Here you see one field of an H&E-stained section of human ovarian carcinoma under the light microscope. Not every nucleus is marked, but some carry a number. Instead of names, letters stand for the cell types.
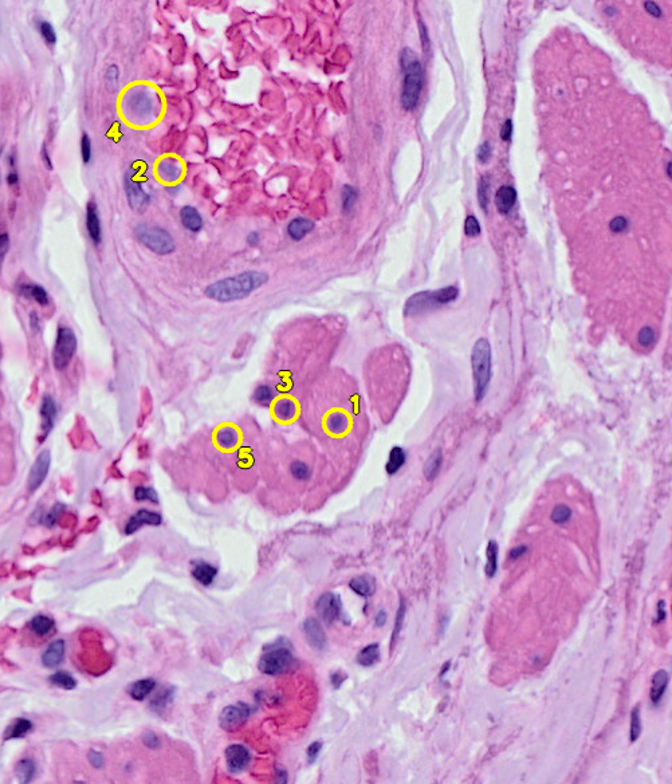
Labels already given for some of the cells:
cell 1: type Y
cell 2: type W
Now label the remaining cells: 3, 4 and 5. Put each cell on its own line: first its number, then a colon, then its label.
3: type Y
4: type W
5: type Y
